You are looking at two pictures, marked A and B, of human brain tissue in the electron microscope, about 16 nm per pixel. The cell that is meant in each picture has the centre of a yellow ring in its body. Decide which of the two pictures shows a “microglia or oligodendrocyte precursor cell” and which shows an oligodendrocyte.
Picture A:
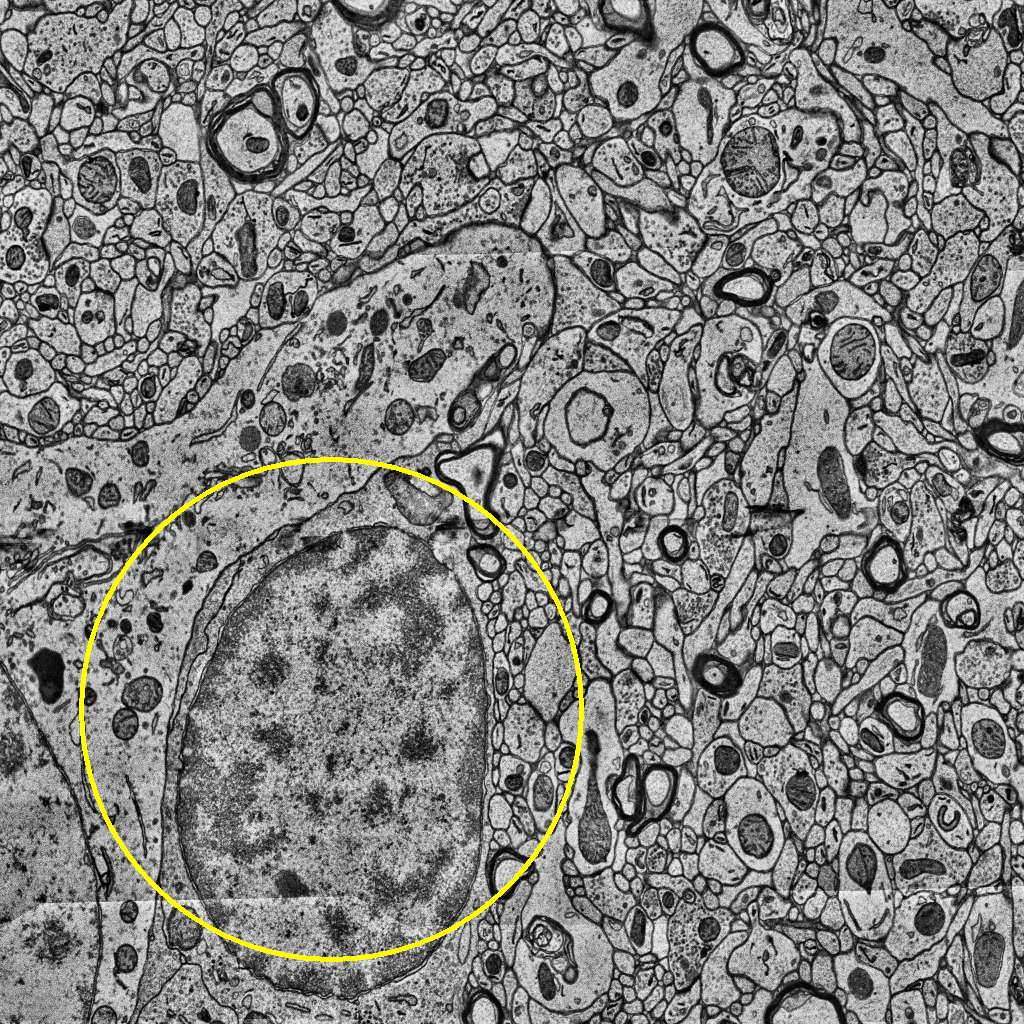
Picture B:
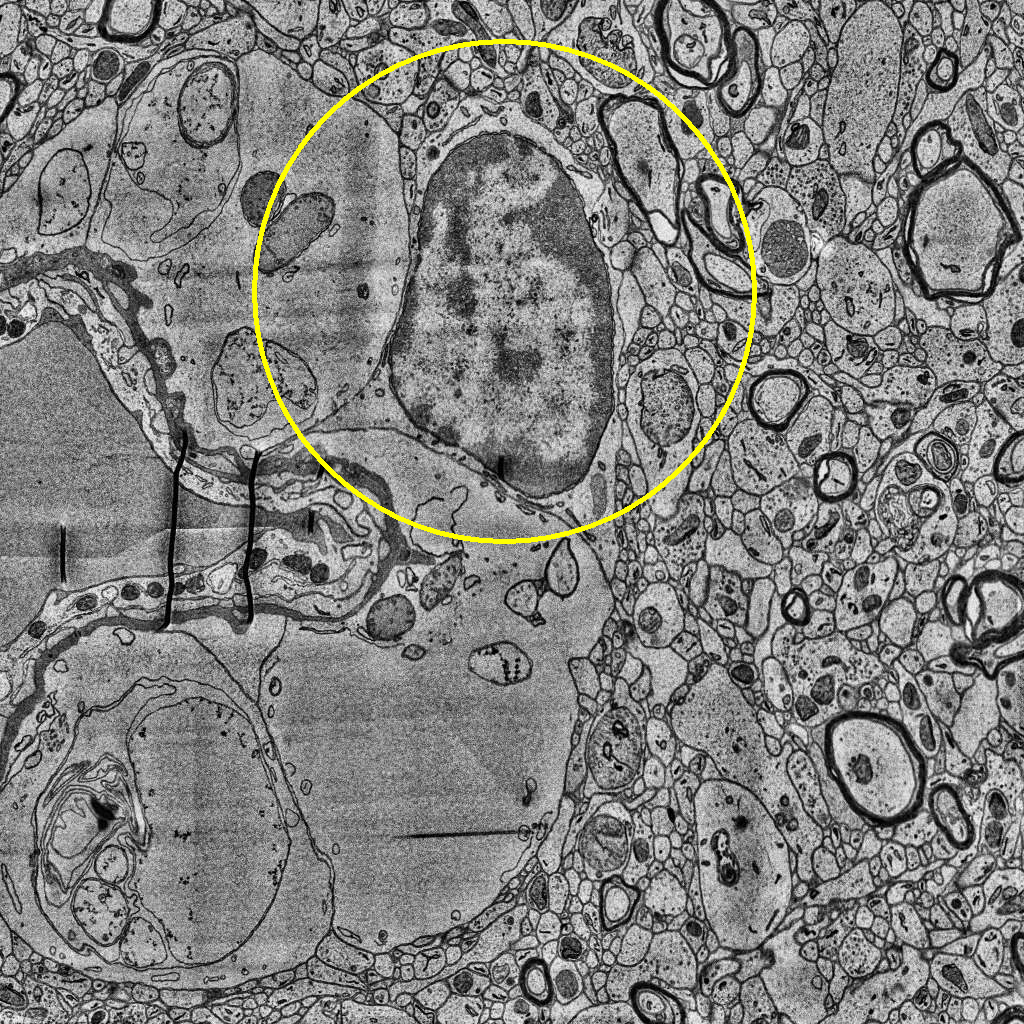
It is picture A that shows an oligodendrocyte, and picture B that shows a “microglia or oligodendrocyte precursor cell”.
